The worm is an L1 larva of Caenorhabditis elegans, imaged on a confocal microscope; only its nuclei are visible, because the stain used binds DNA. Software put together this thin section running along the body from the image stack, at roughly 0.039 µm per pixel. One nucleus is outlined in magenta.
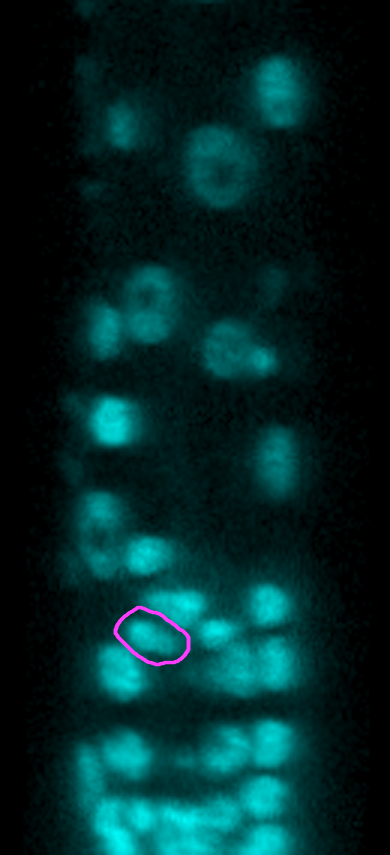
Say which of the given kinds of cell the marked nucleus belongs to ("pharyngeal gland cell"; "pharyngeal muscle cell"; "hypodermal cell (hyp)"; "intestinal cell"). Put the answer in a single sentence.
The marked nucleus is that of a pharyngeal gland cell.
